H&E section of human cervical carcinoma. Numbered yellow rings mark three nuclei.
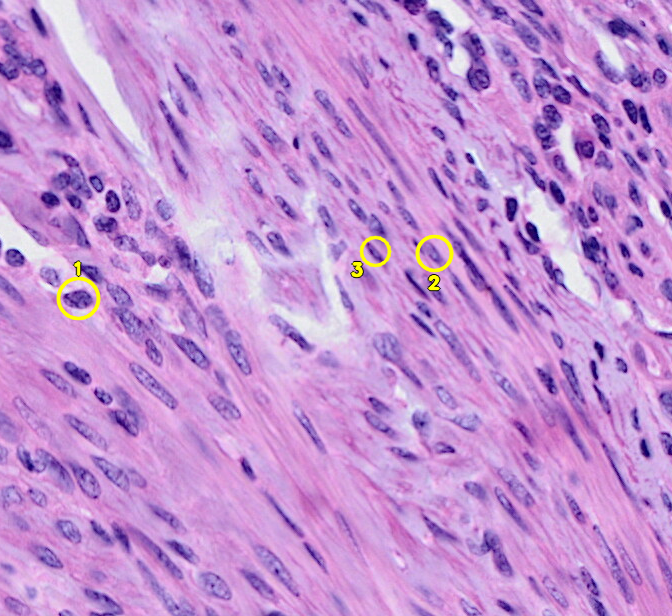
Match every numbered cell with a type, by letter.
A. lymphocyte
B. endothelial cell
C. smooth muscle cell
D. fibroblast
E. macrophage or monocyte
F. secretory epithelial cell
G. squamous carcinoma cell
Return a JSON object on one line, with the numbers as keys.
{"1": "A", "2": "C", "3": "C"}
